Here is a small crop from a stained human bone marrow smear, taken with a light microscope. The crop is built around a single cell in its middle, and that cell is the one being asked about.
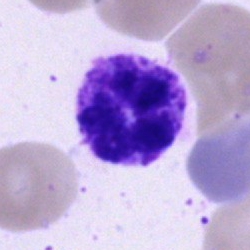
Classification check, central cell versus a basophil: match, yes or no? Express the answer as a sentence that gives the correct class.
Yes, what sits in the middle of the crop is a basophil.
